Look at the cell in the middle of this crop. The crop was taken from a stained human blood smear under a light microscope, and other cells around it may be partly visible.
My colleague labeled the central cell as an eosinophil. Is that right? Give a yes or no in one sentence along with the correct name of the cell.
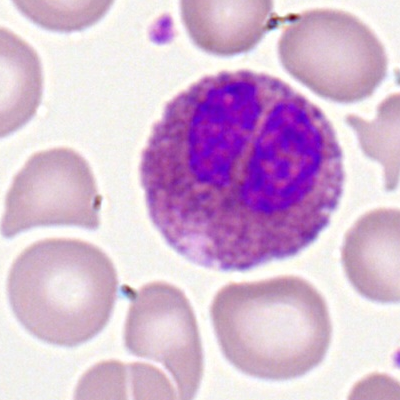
Yes, the one cell at the centre is an eosinophil.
